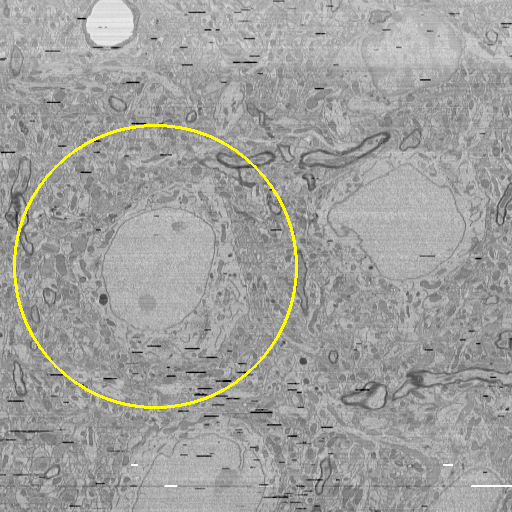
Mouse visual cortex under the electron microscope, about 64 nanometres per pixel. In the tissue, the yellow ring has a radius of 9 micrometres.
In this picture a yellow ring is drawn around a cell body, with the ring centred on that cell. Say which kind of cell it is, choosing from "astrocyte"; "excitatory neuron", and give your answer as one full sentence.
Here it is an excitatory neuron that sits at the centre of the drawn yellow ring.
